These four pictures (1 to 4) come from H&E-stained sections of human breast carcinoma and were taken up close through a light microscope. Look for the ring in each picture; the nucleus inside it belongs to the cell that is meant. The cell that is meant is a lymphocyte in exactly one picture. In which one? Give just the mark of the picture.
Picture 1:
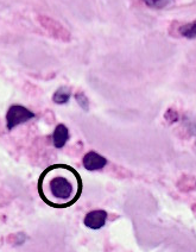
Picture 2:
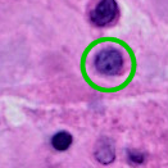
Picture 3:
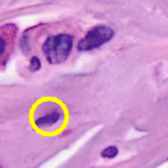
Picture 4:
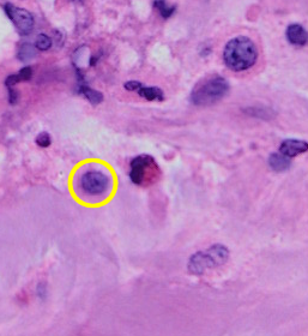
1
